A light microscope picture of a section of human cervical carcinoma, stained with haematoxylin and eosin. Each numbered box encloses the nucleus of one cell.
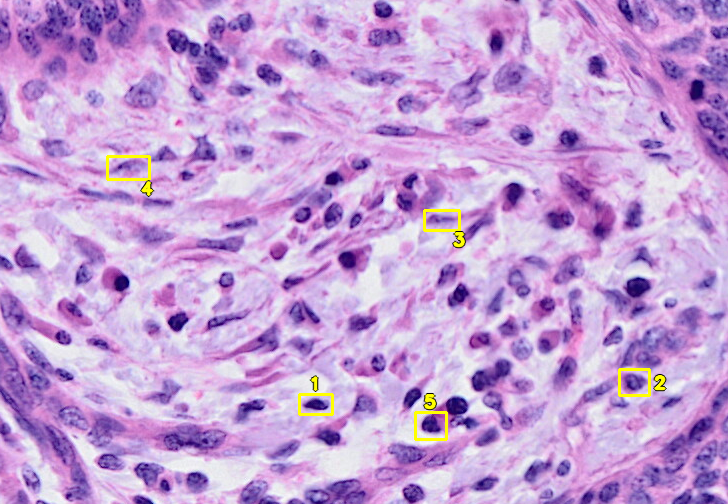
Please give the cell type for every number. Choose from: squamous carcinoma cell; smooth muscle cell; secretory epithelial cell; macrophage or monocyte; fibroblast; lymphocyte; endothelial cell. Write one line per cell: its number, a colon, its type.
1: lymphocyte
2: lymphocyte
3: fibroblast
4: fibroblast
5: lymphocyte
